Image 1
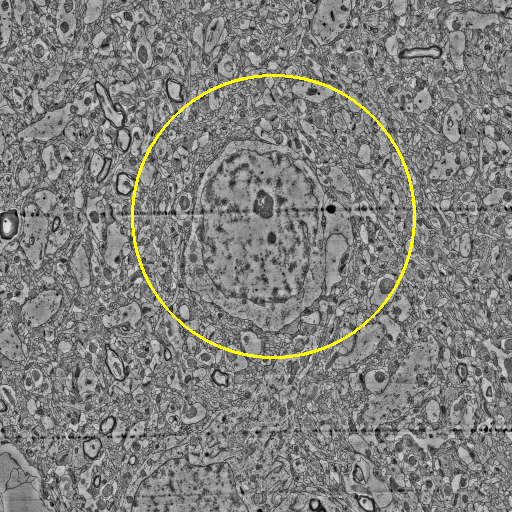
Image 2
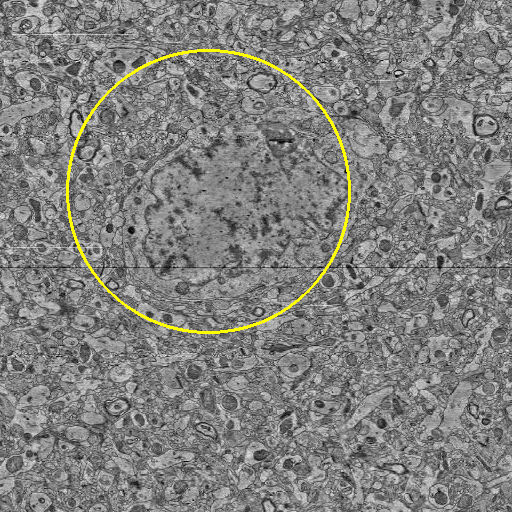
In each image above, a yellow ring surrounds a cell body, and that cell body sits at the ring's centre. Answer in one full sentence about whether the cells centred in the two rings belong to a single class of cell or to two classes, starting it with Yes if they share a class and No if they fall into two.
Yes, the cells centred in the two yellow rings belong to a single class of cell.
